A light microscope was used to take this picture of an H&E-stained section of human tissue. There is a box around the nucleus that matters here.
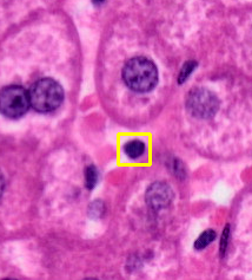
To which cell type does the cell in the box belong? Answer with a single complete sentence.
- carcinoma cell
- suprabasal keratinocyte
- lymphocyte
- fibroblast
As for its identity, the cell in the box is a lymphocyte.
